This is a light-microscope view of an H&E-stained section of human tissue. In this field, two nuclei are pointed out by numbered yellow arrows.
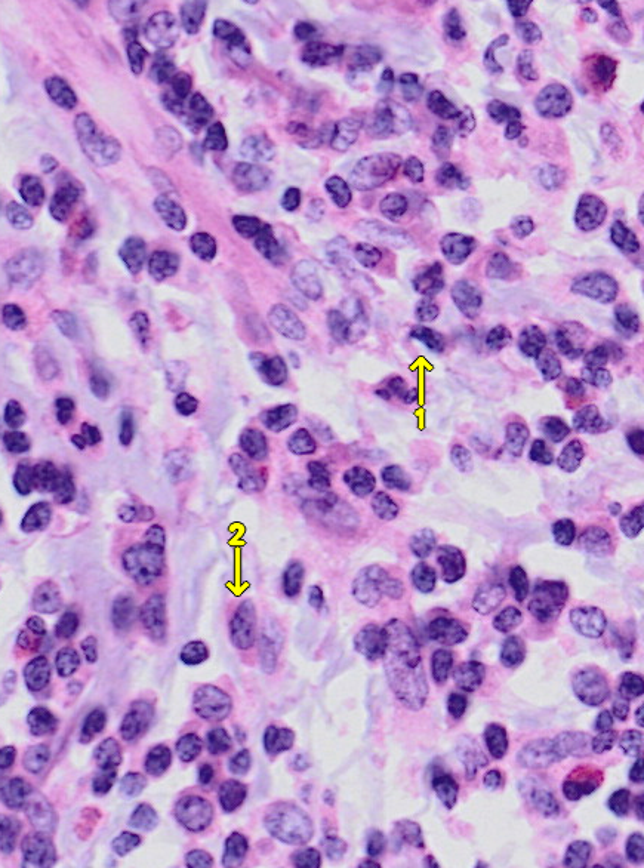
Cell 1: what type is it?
lymphocyte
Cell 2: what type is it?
macrophage or monocyte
